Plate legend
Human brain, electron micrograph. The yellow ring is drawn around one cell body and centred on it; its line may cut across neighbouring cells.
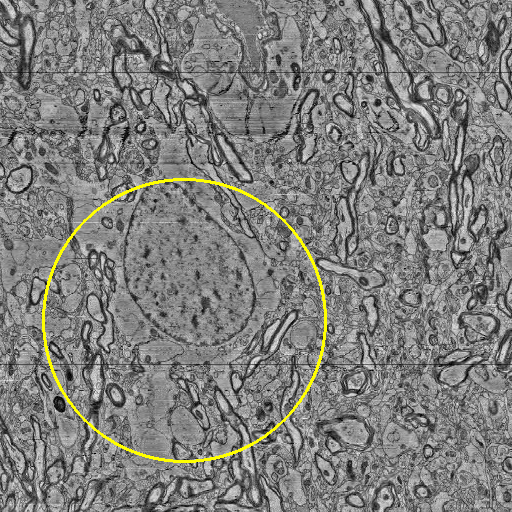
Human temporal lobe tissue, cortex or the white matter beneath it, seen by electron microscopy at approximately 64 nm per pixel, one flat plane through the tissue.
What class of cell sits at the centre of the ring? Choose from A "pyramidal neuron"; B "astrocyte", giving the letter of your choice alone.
B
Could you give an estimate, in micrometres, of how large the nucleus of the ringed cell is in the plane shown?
About 11 micrometres by about 8 micrometres in this plane.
